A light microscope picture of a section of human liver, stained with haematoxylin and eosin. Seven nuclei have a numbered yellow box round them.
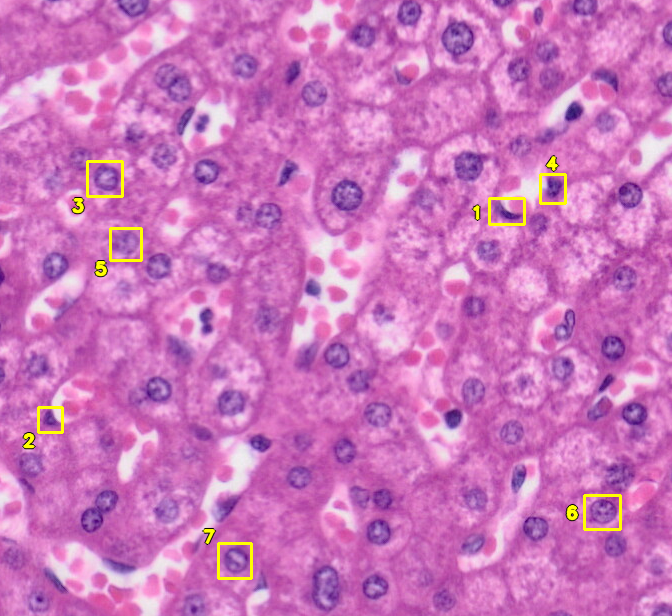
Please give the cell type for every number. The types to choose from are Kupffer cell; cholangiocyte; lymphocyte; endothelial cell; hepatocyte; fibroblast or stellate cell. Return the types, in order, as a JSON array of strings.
["endothelial cell", "fibroblast or stellate cell", "hepatocyte", "fibroblast or stellate cell", "hepatocyte", "hepatocyte", "hepatocyte"]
